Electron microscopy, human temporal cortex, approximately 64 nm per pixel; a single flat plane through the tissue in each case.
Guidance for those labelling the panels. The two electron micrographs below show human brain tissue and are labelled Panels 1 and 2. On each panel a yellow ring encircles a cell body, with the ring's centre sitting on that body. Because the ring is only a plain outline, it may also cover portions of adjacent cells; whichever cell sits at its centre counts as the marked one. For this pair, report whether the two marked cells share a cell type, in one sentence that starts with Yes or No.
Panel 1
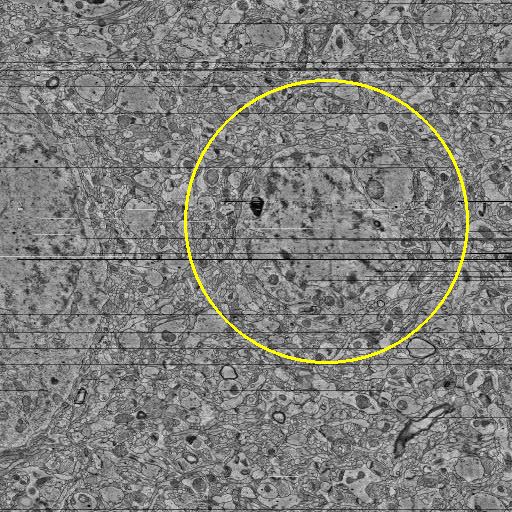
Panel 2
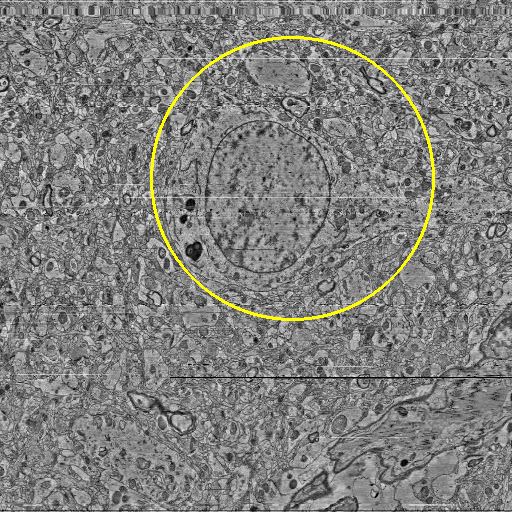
No, in Panel 1 and Panel 2 the marked cells at the ring centres are of two types.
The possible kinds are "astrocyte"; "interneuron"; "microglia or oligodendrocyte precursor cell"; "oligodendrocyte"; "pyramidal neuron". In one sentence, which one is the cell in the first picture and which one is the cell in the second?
The cell ringed in the second picture is a pyramidal neuron, whereas the one ringed in the first is an interneuron.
